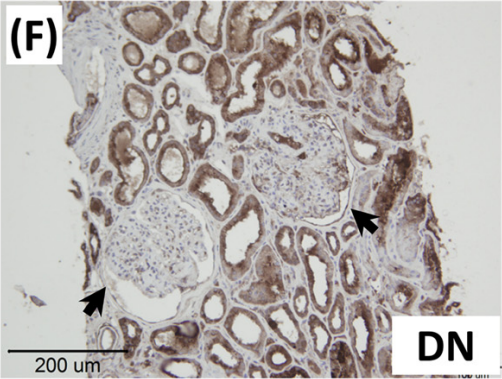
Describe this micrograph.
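This is renal cortex with two glomeruli surrounded by closely packed tubules. The glomeruli are pale, rounded tufts with scattered small nuclei, each sitting within a capsule separated from the tuft by a clear crescent of space. The tubular epithelium around them is stained a deep brown, giving rings of brown around open lumens, while the glomeruli and interstitium stay largely pale.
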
